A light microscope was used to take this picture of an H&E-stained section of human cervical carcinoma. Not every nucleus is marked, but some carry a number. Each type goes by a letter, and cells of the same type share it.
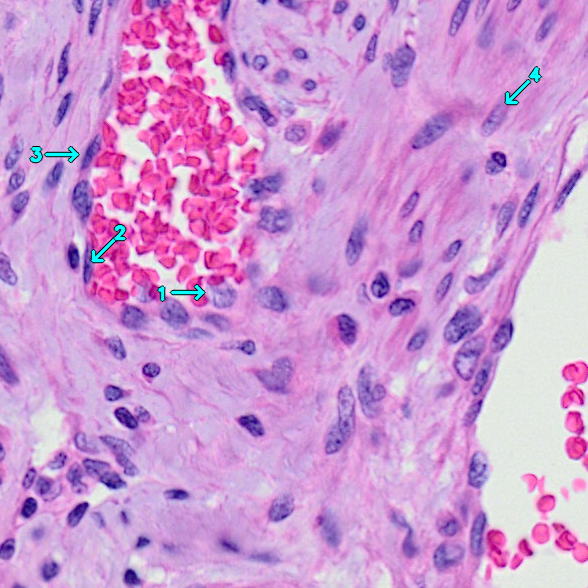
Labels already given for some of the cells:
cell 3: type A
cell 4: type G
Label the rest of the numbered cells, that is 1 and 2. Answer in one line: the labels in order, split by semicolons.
type A; type A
